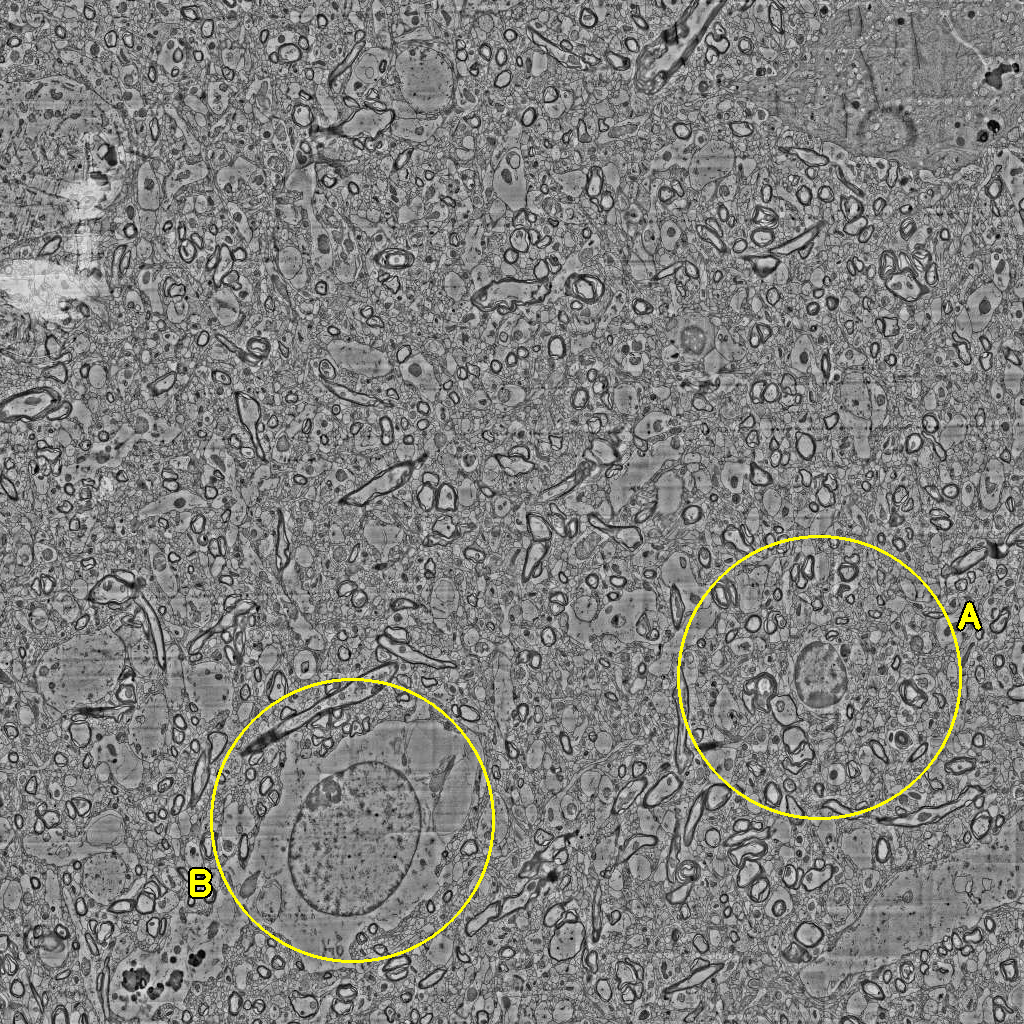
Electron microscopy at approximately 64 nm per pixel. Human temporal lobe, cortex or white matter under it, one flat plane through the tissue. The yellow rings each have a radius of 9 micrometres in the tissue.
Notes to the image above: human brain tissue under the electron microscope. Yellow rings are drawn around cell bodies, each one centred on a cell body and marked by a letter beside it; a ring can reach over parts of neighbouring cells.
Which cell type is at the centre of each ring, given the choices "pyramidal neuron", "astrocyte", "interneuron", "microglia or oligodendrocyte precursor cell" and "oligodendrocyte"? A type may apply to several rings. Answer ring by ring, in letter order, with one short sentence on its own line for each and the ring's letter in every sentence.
Inside ring A, at its centre, is a microglial cell or oligodendrocyte precursor cell.
Inside ring B, at its centre, is an astrocyte.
